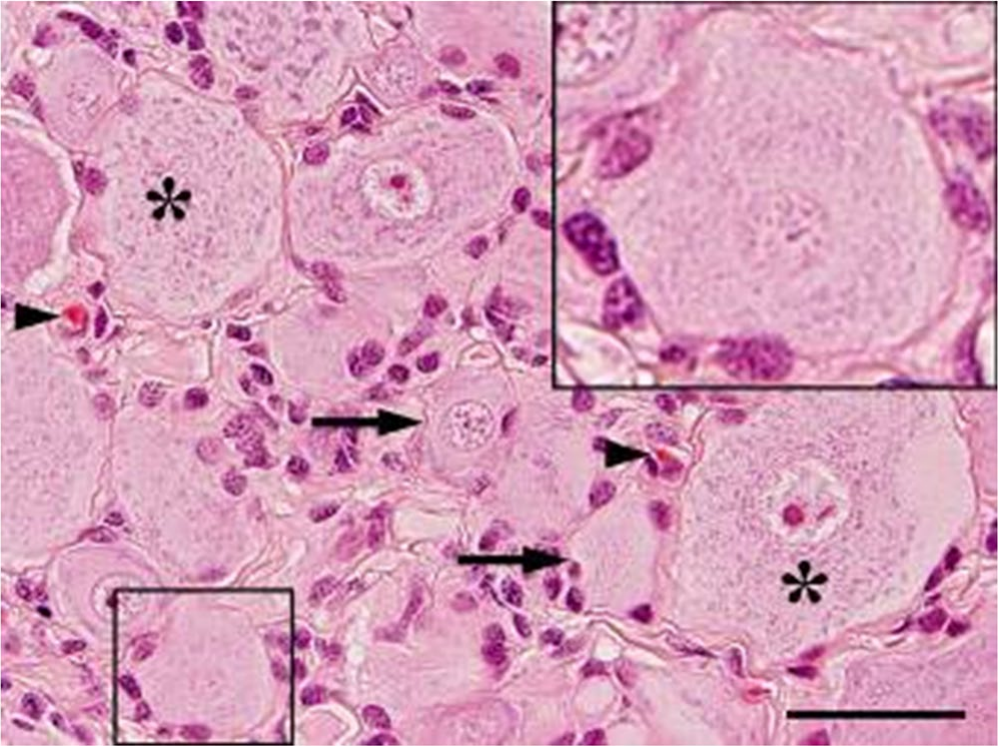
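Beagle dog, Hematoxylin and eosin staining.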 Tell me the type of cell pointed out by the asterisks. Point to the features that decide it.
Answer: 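Neurons. Very large round-to-polygonal cell bodies with abundant pale pink, finely granular cytoplasm. A round pale nucleus with a prominent dark nucleolus in the lower asterisked cell. The cell bodies are separated from each other by thin stroma.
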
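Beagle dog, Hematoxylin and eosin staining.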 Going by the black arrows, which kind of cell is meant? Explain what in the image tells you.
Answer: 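The arrowed cells are clearly smaller than the asterisked cells. The upper arrowed cell has a round vesicular nucleus and pink cytoplasm. They lie among the large cell bodies, surrounded by small dark nuclei.
Small neurons.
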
